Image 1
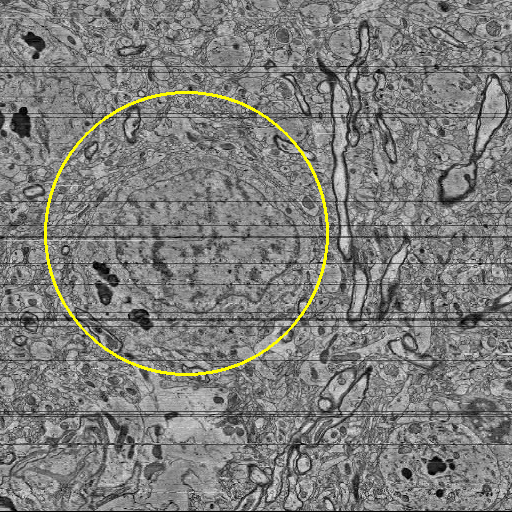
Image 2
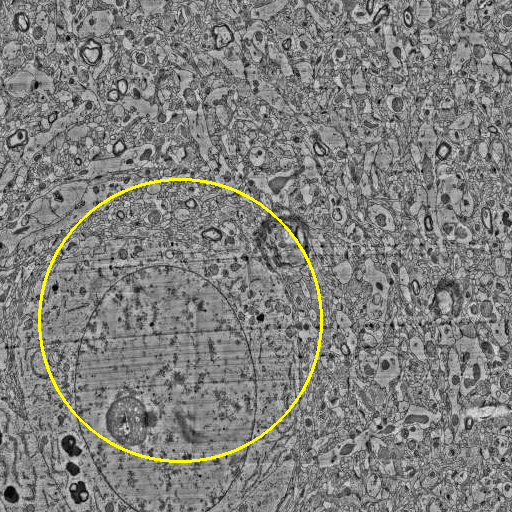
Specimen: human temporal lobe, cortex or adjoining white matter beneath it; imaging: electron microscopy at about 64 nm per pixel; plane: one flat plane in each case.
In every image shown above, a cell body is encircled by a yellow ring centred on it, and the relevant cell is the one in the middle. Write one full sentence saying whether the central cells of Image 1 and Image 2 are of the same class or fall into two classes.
The cell at the ring's centre in Image 1 and its counterpart in Image 2 are of the same class.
